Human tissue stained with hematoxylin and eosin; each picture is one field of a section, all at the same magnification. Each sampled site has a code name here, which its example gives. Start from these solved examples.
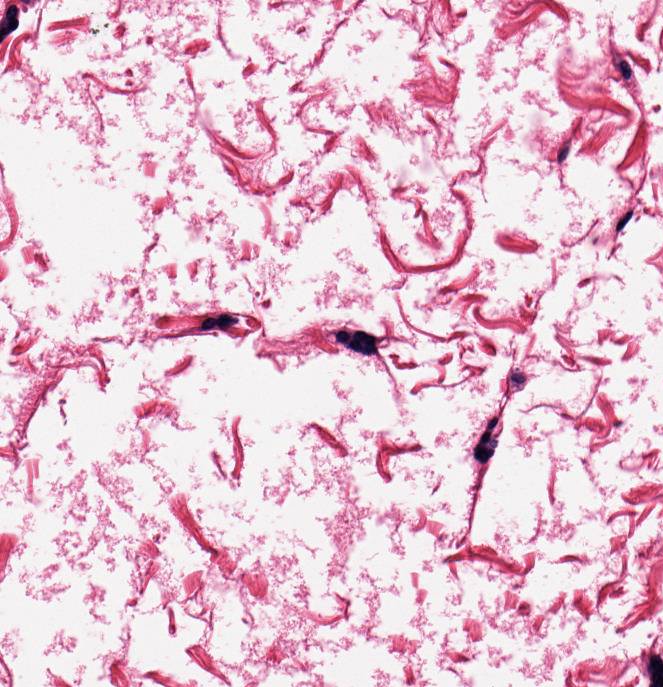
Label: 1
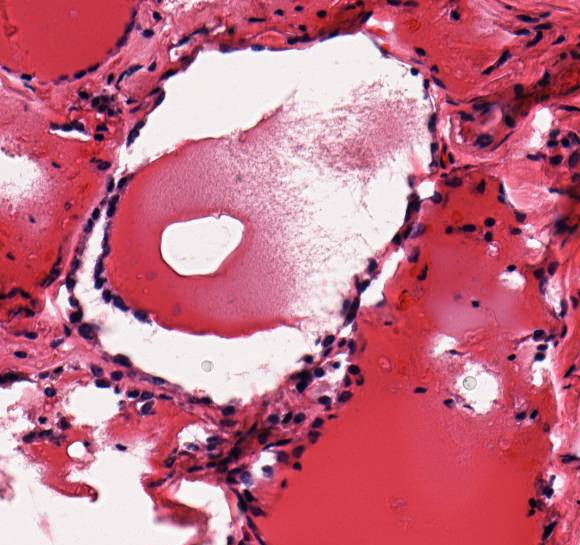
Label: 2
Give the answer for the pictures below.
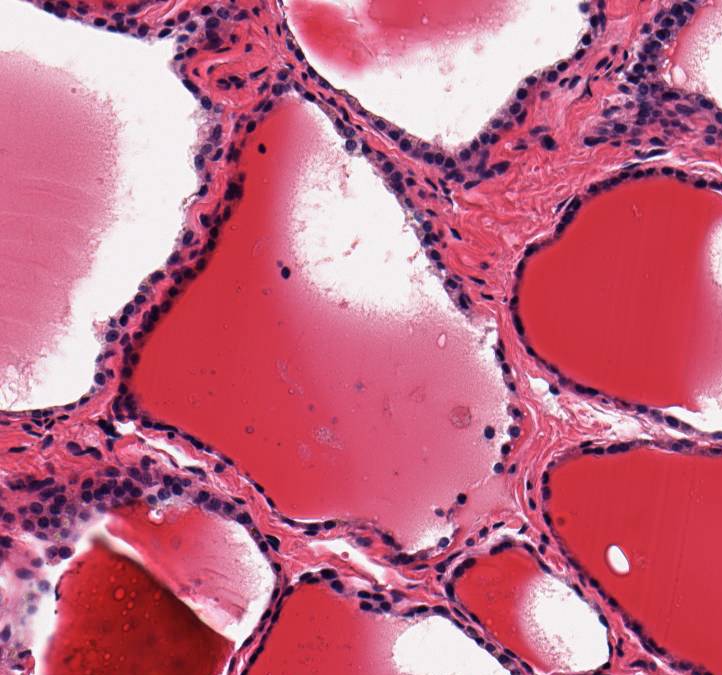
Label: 2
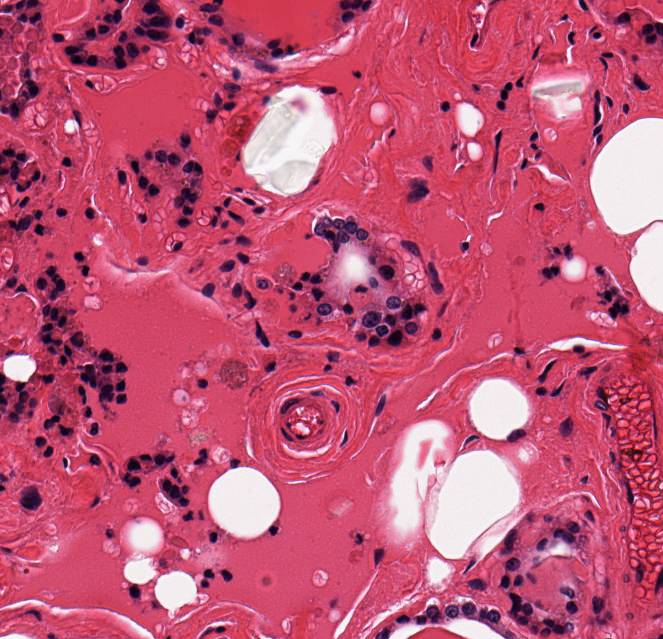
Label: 2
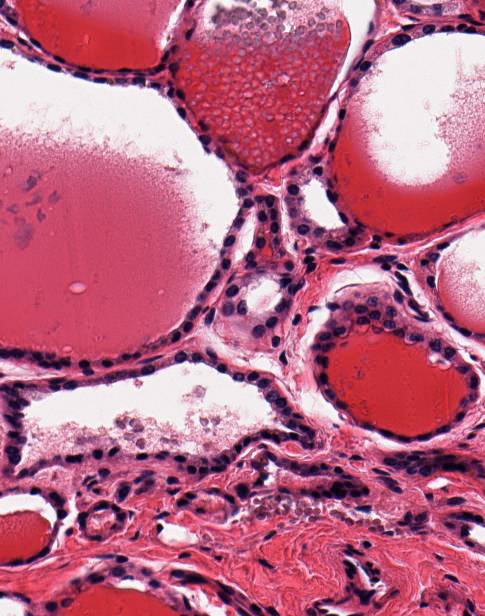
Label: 2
